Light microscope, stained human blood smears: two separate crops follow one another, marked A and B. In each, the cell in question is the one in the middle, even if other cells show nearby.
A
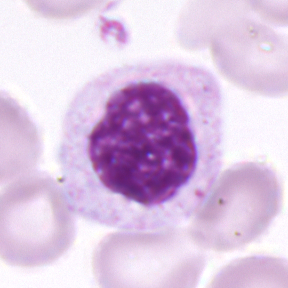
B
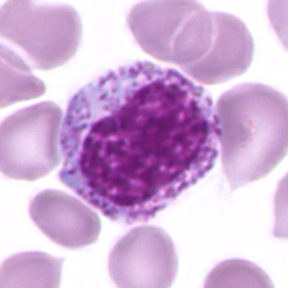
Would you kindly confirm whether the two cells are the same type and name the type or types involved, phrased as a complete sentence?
Yes, as for both crops, the cells shown are metamyelocytes.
